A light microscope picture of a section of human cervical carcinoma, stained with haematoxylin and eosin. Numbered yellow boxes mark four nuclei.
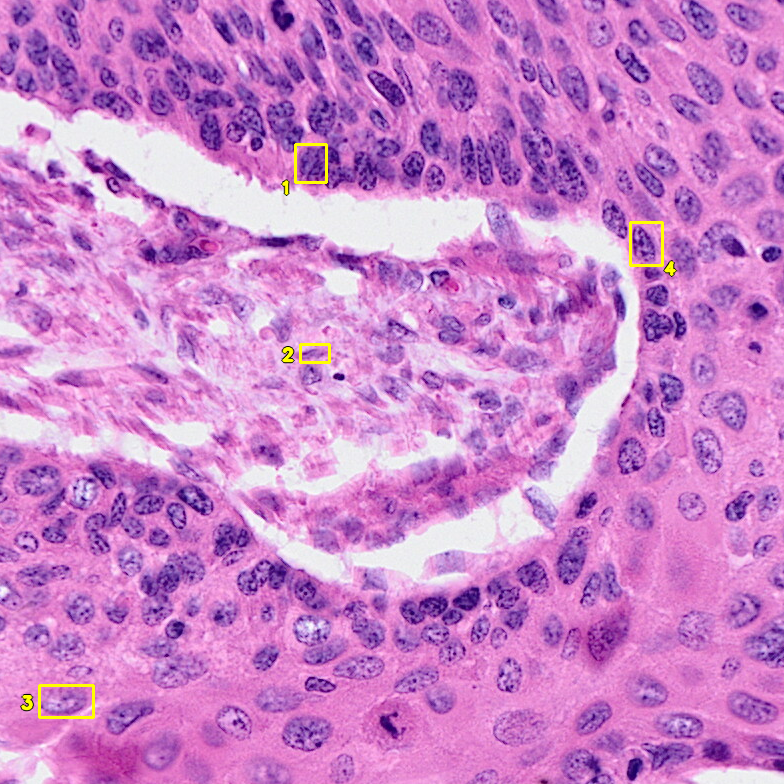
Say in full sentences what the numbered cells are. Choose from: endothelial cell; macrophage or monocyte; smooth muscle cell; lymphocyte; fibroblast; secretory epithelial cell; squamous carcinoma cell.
Cell 1 is a squamous carcinoma cell, cell 2 is a fibroblast, cell 3 is a squamous carcinoma cell and cell 4 is a squamous carcinoma cell.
